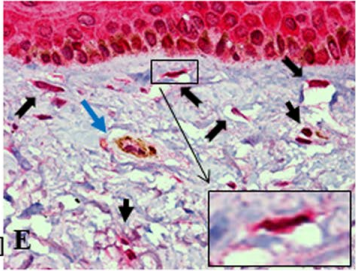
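Skin with a red-stained epidermis of stratified keratinocytes above a loose, pale dermis. Scattered elongated spindle-shaped cells stained red lie in the dermis, and a small vessel with a brown-stained wall lies in its middle.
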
